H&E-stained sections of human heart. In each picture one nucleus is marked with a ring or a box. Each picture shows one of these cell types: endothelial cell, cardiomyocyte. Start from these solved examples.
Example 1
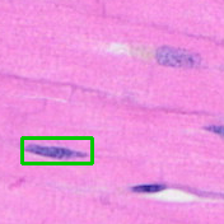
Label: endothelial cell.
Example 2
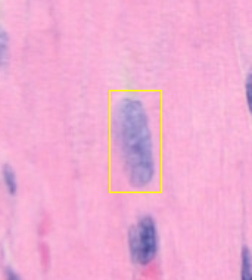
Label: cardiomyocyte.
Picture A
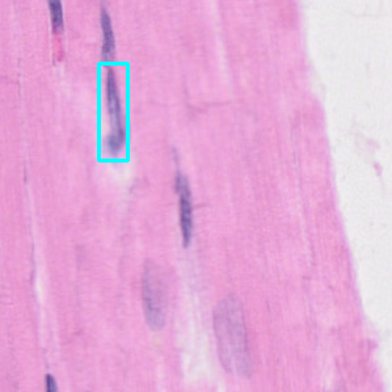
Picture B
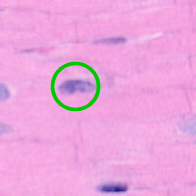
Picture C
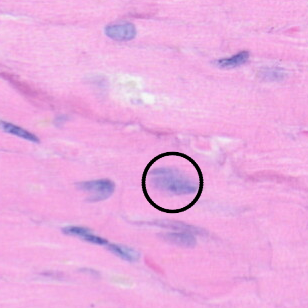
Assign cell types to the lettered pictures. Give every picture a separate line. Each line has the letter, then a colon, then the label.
A: endothelial cell.
B: endothelial cell.
C: cardiomyocyte.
